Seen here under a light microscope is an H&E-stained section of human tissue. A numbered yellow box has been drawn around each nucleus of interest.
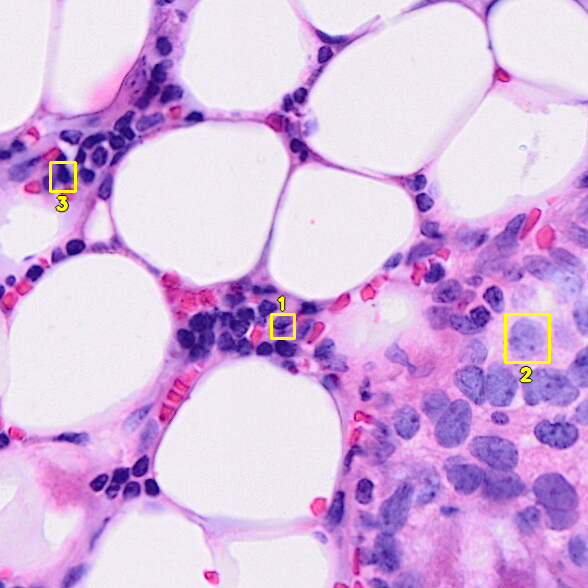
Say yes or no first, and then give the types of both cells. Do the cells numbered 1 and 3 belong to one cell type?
Yes, regarding cells 1 and 3, both are lymphocytes.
